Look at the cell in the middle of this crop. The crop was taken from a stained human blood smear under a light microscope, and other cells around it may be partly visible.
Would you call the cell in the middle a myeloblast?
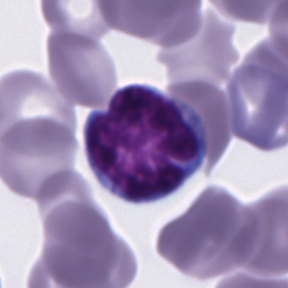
no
